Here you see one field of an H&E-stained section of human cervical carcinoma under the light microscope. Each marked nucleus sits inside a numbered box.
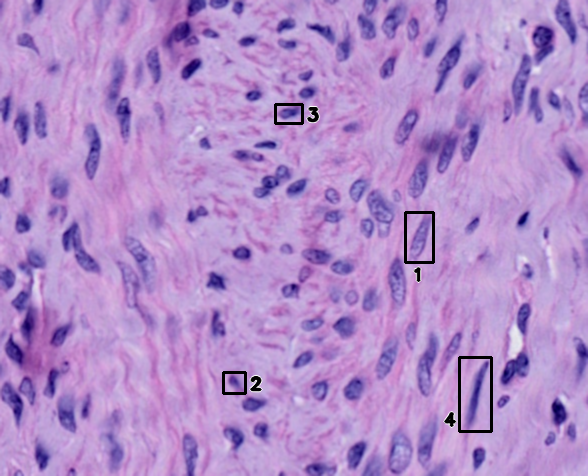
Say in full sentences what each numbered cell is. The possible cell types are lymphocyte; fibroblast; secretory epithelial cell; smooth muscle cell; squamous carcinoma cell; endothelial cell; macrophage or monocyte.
Cell 1 is a smooth muscle cell, cell 2 is a smooth muscle cell, cell 3 is a smooth muscle cell and cell 4 is a fibroblast.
